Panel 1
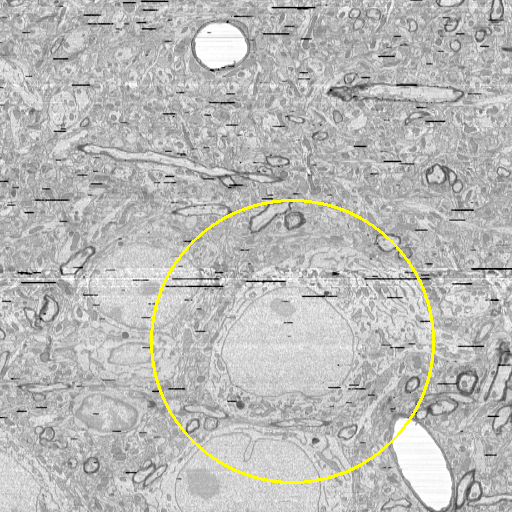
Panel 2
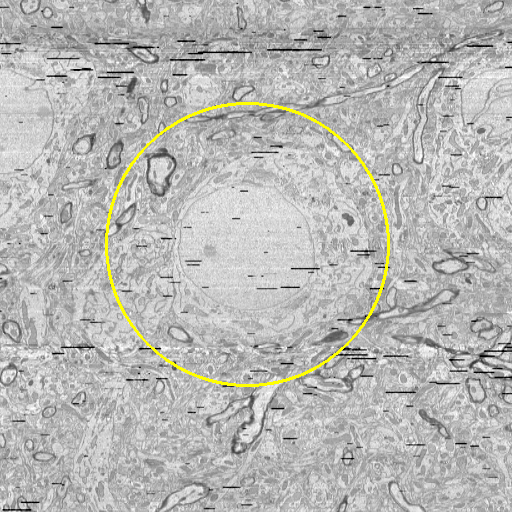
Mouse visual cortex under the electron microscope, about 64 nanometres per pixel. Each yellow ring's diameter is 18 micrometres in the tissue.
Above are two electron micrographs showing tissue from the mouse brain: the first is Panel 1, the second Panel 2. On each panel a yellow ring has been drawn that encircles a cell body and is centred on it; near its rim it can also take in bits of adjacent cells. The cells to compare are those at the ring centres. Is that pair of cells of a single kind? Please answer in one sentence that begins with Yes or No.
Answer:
No, the ring-centred cells of Panel 1 and Panel 2 belong to two kinds.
